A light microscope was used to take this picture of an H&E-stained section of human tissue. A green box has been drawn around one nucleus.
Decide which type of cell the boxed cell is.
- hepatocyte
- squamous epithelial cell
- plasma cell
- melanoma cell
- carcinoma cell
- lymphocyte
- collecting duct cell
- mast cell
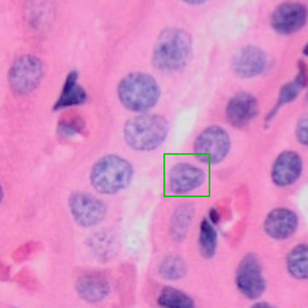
collecting duct cell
